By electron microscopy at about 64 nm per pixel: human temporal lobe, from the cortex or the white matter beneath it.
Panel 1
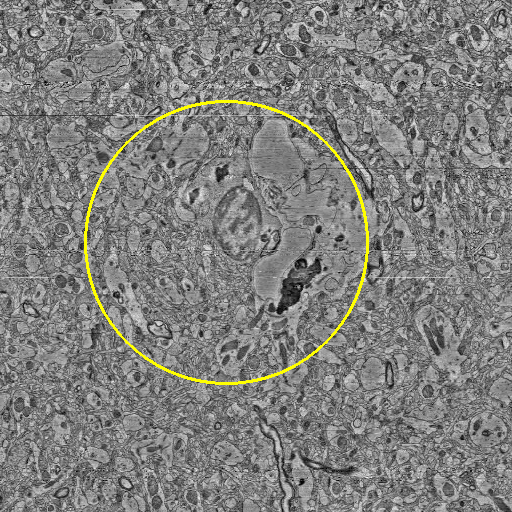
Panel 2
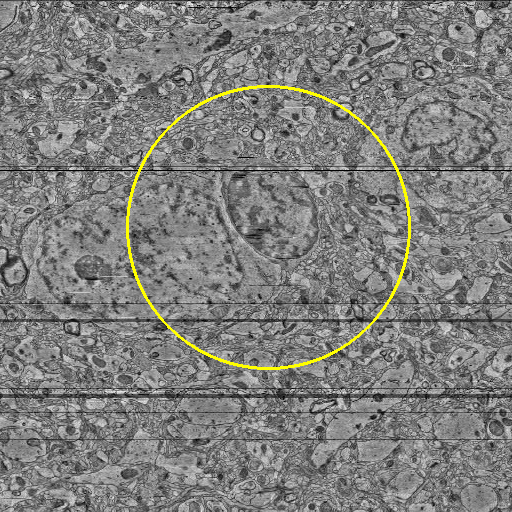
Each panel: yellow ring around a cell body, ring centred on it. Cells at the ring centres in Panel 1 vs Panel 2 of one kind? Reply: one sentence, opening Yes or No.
Yes, Panel 1 and Panel 2 have cells of one kind at the ring centres.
